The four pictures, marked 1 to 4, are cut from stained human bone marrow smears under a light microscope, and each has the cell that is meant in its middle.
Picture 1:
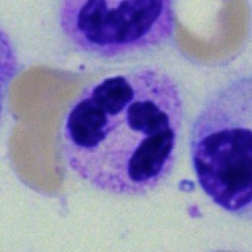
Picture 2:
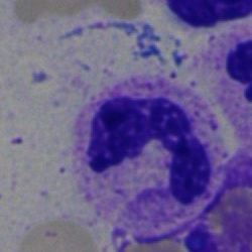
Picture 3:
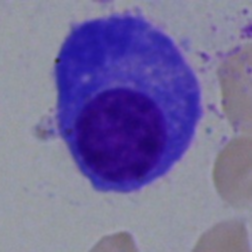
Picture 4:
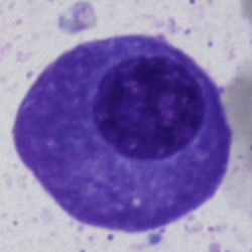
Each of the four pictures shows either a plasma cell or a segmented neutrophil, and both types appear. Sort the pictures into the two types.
1: segmented neutrophil
2: segmented neutrophil
3: plasma cell
4: plasma cell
